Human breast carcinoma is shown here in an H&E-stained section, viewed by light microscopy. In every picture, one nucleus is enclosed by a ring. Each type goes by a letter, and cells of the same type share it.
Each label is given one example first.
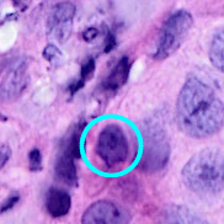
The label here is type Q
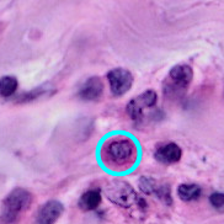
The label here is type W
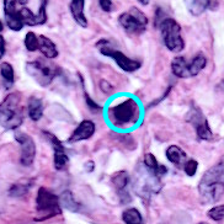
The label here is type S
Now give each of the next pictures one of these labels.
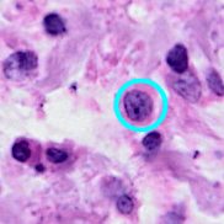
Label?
type W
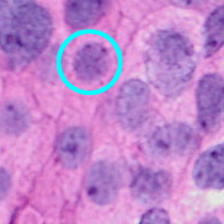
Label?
type Q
